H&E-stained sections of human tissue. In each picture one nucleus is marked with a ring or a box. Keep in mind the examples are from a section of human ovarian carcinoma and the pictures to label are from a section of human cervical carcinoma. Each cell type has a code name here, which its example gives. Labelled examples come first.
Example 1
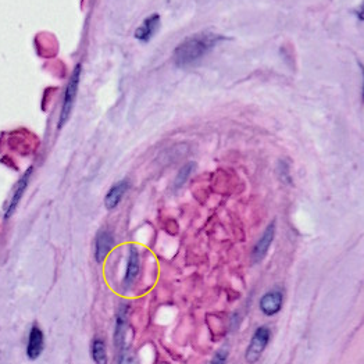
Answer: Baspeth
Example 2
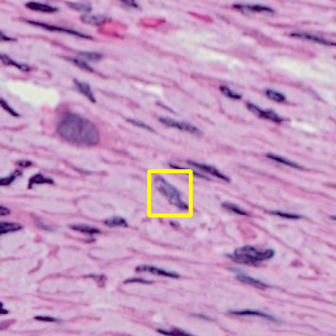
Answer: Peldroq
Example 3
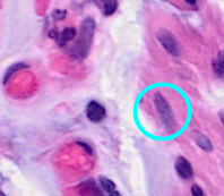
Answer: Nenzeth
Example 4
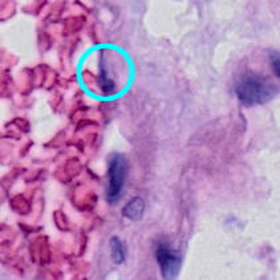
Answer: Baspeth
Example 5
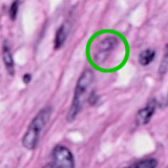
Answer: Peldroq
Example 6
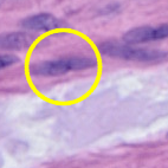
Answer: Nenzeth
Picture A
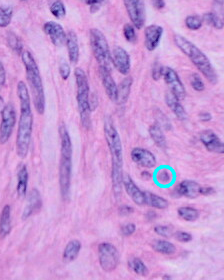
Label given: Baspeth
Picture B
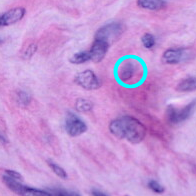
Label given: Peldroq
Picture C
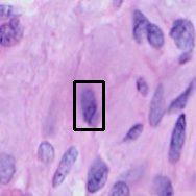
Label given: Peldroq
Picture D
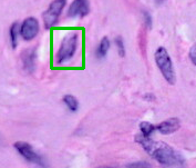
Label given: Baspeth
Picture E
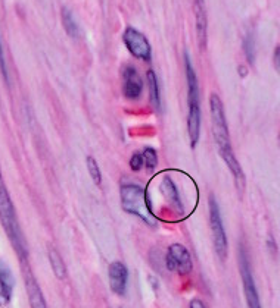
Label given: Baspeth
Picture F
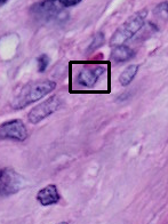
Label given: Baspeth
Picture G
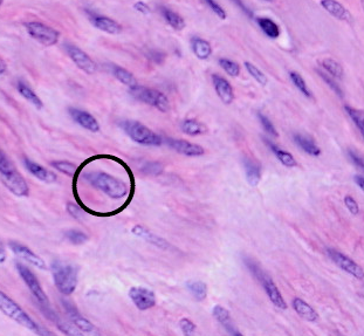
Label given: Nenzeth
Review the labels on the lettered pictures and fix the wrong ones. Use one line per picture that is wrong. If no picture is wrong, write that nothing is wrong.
A: Nenzeth, not Baspeth
B: Nenzeth, not Peldroq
